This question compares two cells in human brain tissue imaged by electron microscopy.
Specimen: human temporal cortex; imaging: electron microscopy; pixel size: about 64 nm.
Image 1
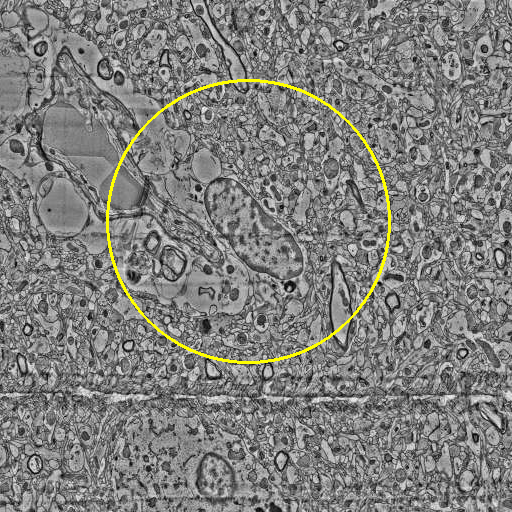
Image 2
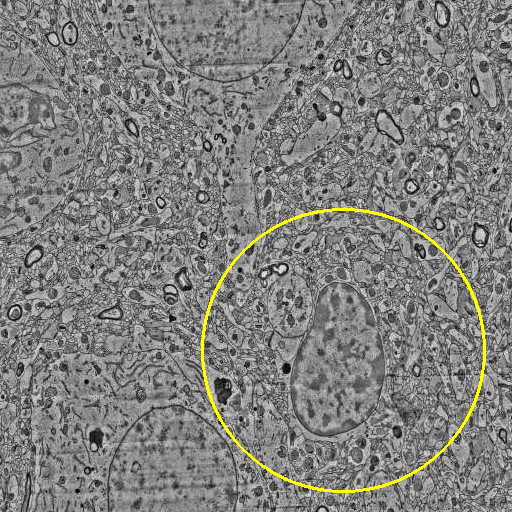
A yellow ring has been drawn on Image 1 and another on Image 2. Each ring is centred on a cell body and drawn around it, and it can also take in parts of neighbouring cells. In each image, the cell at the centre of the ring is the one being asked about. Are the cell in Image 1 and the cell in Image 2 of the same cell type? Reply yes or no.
yes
